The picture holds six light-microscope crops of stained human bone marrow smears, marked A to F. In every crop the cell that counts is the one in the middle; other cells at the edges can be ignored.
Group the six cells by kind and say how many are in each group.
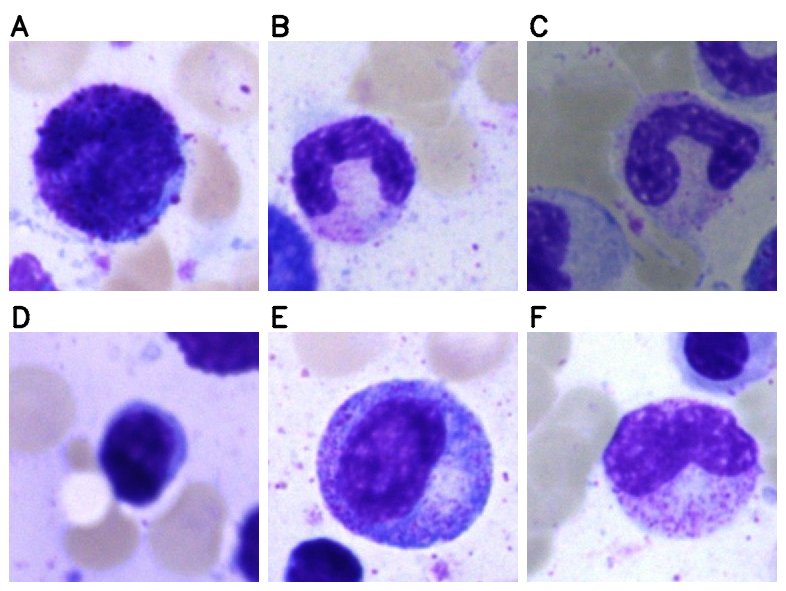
band neutrophil: 3
basophil: 1
lymphocyte: 1
promyelocyte: 1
